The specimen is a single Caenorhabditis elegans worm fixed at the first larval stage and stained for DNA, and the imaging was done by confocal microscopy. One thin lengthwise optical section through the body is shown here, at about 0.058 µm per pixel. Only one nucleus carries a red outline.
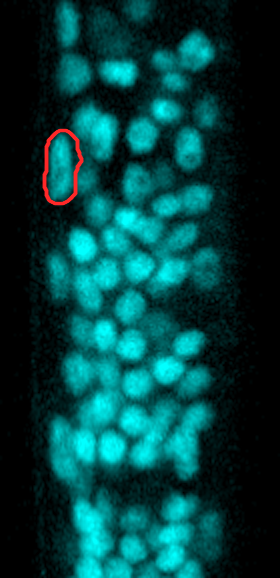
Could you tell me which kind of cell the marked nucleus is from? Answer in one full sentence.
What is marked is the nucleus of a body wall muscle cell.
